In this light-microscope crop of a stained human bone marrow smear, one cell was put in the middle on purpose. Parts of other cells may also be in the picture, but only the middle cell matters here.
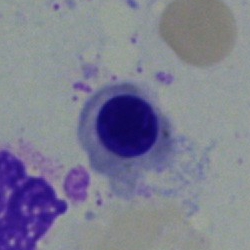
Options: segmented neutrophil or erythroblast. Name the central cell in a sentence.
Looking at the middle of the crop, the cell there is an erythroblast.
